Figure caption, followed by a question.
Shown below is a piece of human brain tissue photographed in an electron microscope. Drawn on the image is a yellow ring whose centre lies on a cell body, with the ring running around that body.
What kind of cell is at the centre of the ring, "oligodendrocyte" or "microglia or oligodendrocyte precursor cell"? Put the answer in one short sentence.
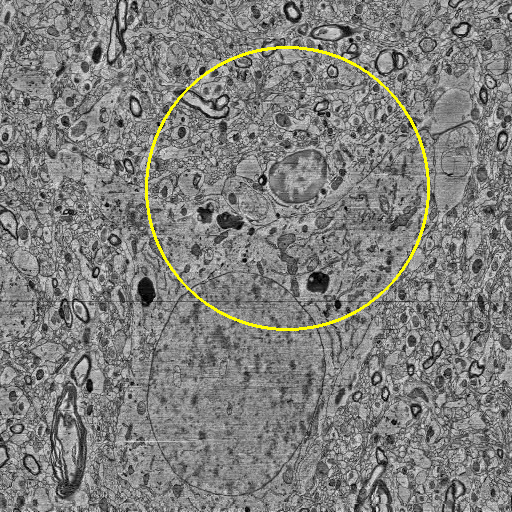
The ring marks the cell body of a microglial cell or oligodendrocyte precursor cell.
